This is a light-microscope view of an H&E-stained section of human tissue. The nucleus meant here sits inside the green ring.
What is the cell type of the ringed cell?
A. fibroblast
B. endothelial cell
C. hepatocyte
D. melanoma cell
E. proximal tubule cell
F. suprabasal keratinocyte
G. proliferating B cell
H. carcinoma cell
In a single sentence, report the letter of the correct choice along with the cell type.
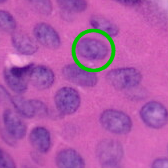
Of the options given, F is right: the ringed cell is a suprabasal keratinocyte.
